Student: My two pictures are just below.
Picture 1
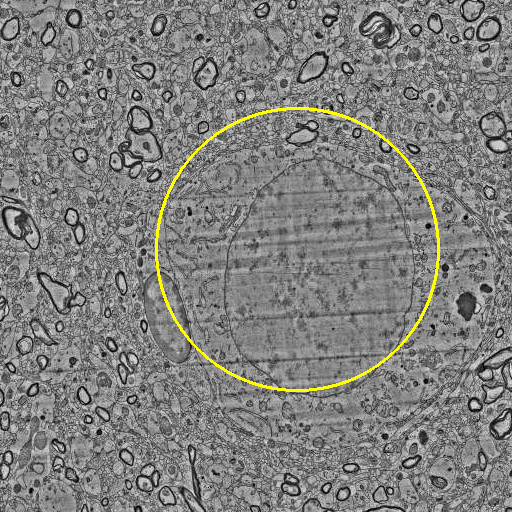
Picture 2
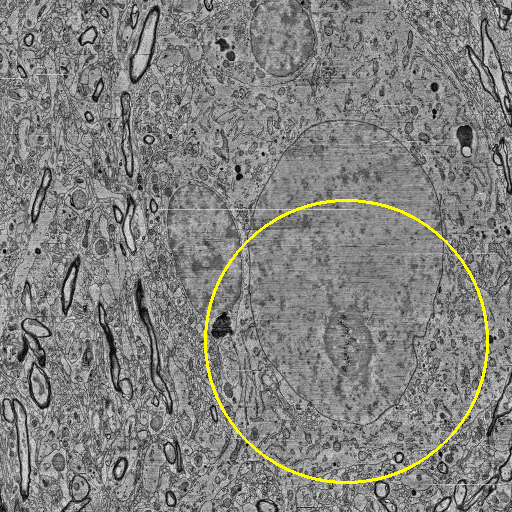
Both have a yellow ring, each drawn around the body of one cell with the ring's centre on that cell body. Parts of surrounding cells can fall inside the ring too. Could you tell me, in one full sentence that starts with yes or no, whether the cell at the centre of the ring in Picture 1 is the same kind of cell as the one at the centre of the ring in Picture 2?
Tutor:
Yes, the two cells are of the same kind.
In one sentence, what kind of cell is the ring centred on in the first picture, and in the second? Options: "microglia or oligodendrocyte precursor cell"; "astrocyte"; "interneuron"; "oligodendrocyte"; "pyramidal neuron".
Each of the two rings is centred on a pyramidal neuron.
